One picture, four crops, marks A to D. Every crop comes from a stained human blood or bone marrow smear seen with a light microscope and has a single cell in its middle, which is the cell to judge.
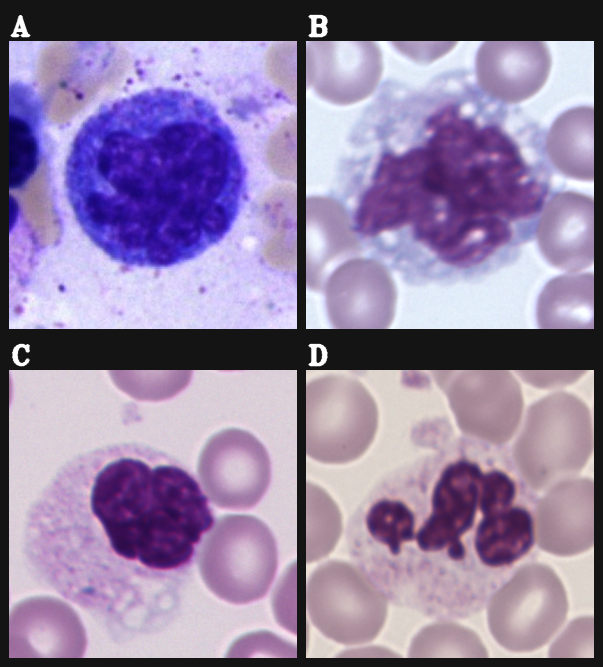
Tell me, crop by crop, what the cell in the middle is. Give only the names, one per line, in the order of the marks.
monocyte
monocyte
neutrophil
neutrophil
